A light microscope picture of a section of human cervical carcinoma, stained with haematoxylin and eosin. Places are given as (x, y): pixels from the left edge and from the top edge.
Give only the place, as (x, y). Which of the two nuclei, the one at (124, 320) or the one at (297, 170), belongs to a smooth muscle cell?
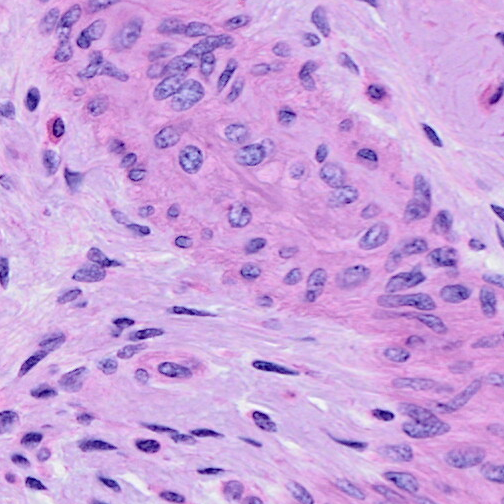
(297, 170)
